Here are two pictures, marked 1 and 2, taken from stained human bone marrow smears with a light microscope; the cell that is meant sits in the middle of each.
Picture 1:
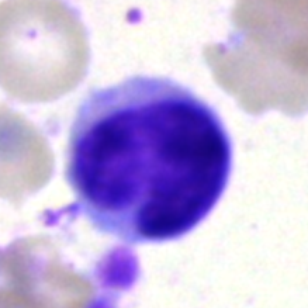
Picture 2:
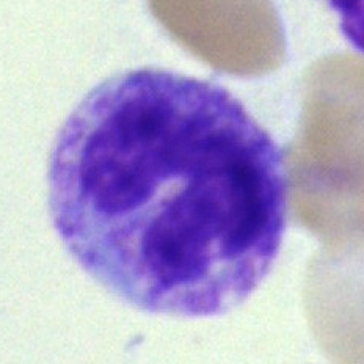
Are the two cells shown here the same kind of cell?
yes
